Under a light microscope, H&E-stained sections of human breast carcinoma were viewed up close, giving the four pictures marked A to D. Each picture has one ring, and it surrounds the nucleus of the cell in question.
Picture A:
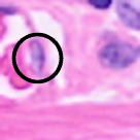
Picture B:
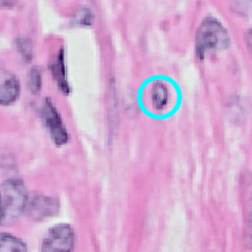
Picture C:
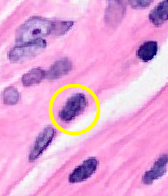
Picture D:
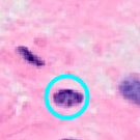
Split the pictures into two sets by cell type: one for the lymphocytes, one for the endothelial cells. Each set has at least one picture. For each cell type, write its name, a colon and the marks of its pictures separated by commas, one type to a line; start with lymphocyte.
lymphocyte: C, D
endothelial cell: A, B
